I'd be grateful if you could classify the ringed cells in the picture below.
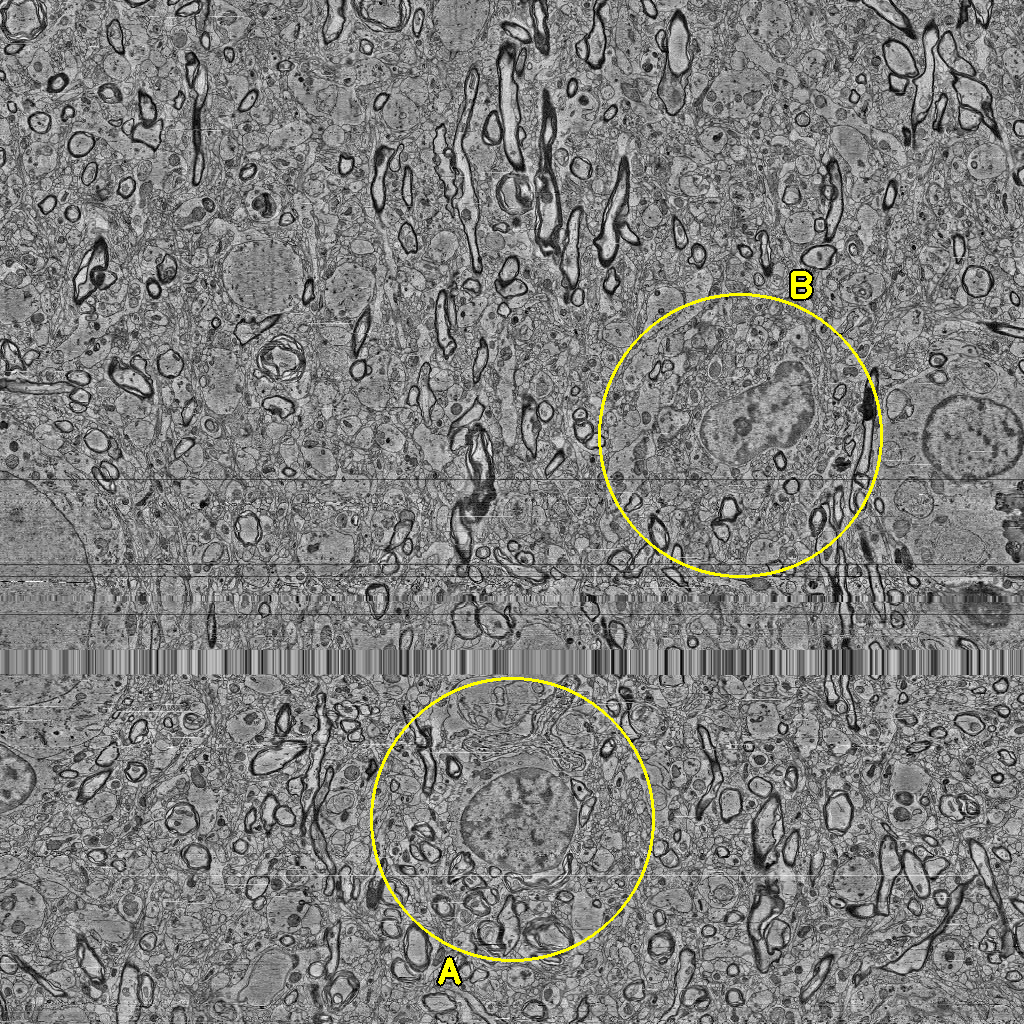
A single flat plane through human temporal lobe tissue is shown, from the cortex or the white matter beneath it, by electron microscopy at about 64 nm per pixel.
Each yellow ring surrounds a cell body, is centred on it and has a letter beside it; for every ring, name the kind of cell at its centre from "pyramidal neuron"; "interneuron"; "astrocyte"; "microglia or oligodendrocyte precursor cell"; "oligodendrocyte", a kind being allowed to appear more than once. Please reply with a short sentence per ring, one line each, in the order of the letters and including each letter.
In ring A we have an oligodendrocyte.
In ring B we have a microglial cell or oligodendrocyte precursor cell.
